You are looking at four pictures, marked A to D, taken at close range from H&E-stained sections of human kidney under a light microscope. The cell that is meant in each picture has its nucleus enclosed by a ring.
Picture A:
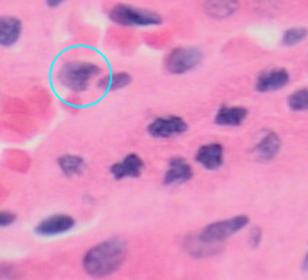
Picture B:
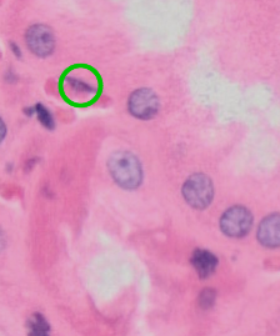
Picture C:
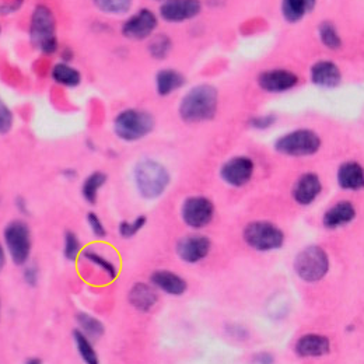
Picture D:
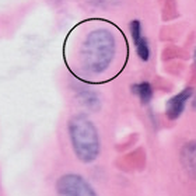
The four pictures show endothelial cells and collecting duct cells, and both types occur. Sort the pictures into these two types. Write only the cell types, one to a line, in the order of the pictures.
endothelial cell
endothelial cell
endothelial cell
collecting duct cell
